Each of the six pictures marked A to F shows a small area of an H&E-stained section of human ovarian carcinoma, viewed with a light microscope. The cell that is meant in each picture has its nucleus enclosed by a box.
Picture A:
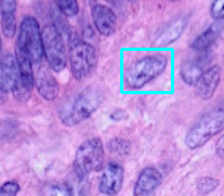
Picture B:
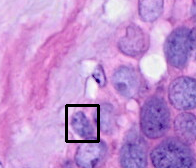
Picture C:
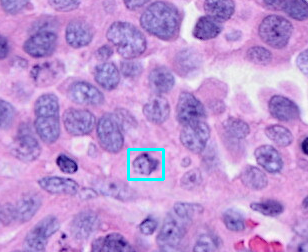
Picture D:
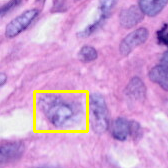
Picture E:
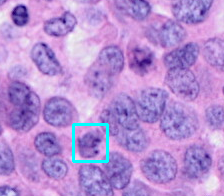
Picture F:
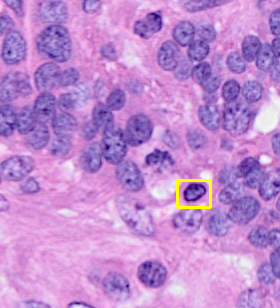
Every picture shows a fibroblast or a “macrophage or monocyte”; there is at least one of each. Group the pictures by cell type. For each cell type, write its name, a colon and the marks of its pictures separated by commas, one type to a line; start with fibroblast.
fibroblast: A, D
macrophage or monocyte: B, C, E, F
